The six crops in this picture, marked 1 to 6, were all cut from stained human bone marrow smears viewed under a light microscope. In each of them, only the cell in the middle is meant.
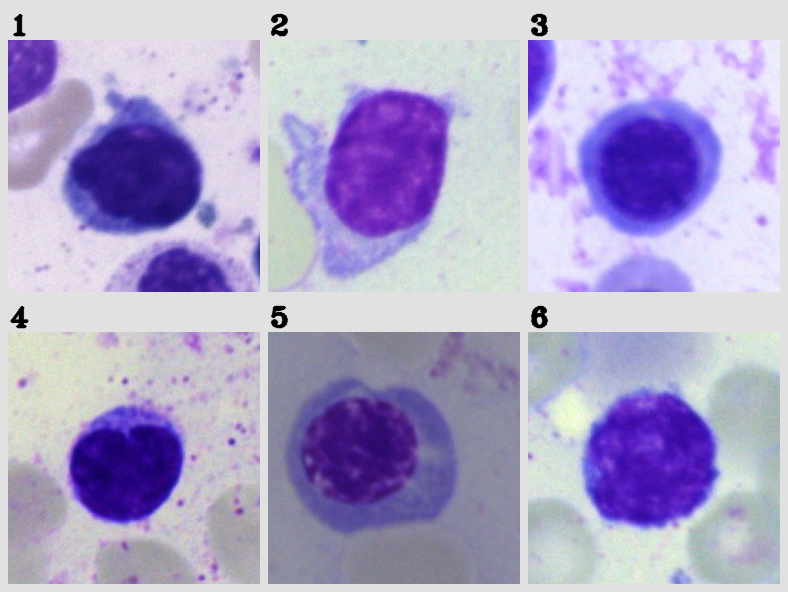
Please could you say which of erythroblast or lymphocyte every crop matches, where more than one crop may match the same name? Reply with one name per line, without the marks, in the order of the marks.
lymphocyte
lymphocyte
erythroblast
lymphocyte
erythroblast
lymphocyte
